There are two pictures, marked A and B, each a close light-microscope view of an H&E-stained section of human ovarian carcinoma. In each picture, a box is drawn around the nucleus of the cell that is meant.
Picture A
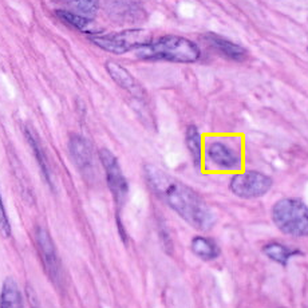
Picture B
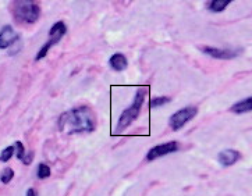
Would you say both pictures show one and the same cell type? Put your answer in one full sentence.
No. Picture A shows a “macrophage or monocyte”, but picture B shows a fibroblast.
